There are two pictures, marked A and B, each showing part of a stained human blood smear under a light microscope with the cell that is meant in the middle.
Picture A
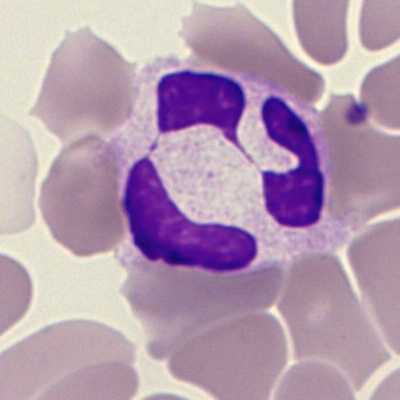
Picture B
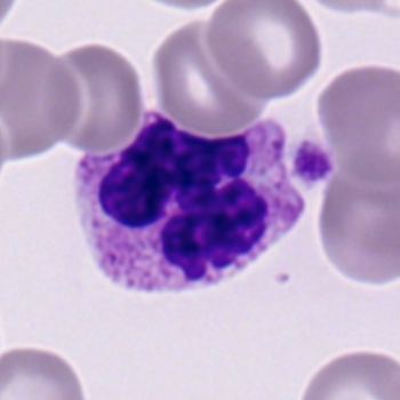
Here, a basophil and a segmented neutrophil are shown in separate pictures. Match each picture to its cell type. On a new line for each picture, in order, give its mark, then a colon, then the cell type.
A: segmented neutrophil
B: basophil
